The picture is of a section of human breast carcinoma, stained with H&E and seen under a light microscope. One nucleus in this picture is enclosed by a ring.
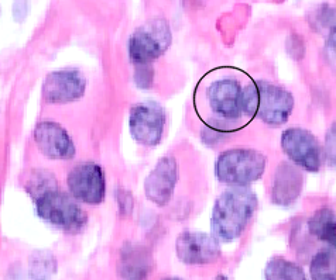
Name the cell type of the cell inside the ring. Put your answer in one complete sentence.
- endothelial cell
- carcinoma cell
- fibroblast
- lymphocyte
Cell type answer for this item: the cell inside the ring is a carcinoma cell.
